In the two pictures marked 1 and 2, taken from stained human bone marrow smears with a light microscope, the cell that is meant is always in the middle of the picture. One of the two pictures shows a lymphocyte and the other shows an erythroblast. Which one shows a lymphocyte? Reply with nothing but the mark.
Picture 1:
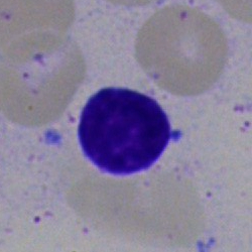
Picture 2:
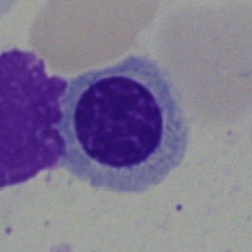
1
